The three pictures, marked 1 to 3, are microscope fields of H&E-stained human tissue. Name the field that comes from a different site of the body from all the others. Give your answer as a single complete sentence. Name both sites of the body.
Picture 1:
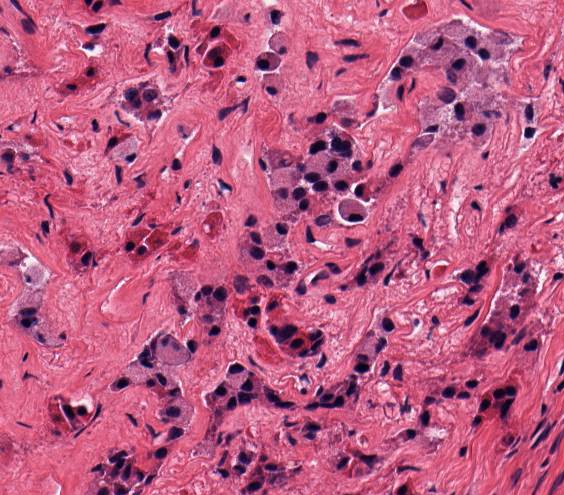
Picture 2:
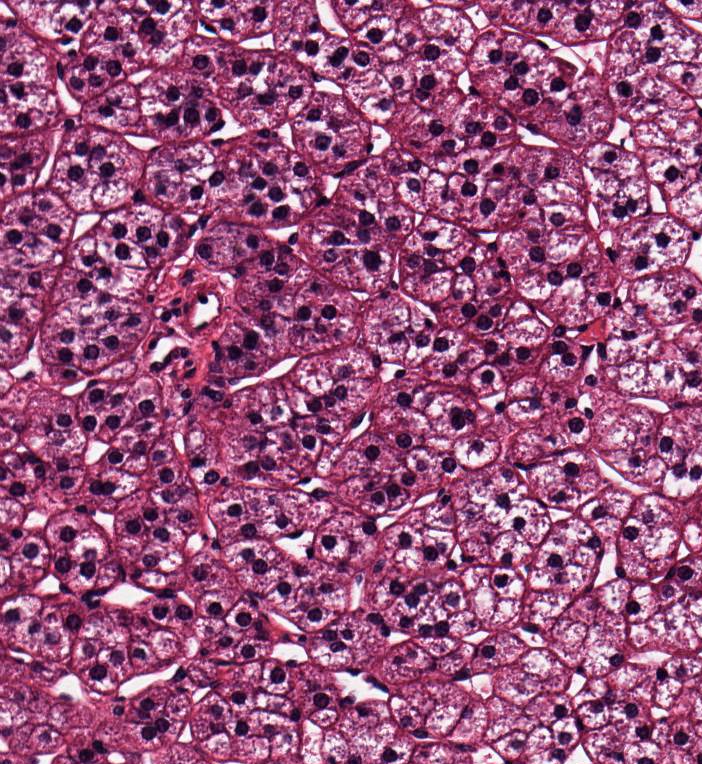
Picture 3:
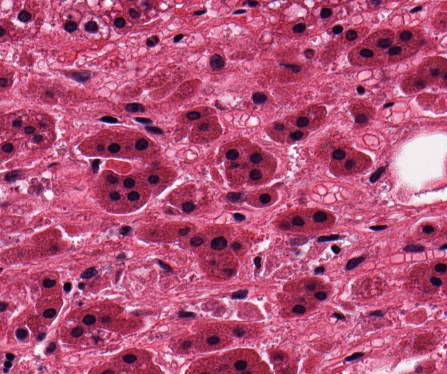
Unlike the rest, which come from the adrenal gland, picture 1 comes from the pituitary.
